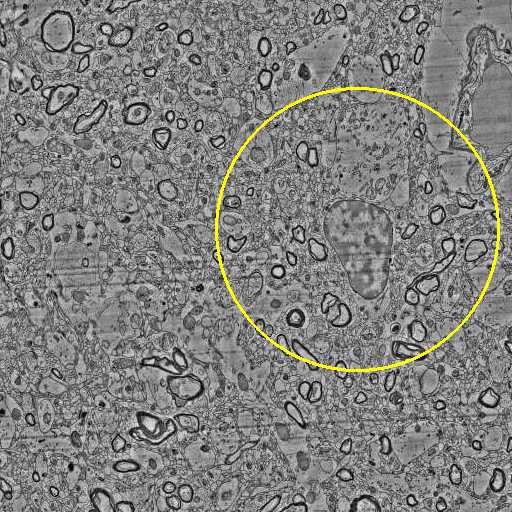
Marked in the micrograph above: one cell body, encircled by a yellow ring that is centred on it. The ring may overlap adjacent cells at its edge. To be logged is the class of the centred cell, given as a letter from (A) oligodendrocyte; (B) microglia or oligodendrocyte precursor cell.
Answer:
B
